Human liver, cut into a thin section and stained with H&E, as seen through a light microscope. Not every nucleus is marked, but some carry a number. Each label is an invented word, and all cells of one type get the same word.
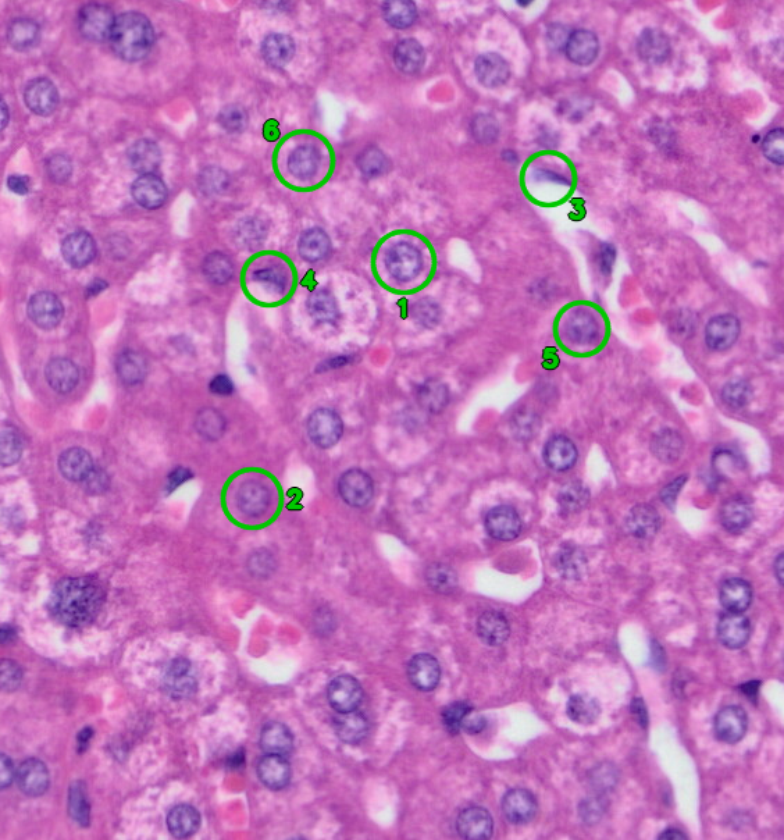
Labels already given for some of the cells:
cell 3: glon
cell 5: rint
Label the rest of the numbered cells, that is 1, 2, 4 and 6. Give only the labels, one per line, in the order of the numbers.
rint
rint
glon
rint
